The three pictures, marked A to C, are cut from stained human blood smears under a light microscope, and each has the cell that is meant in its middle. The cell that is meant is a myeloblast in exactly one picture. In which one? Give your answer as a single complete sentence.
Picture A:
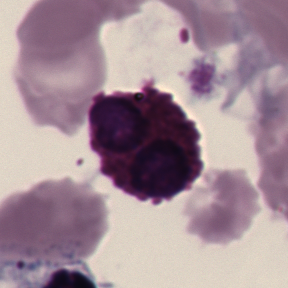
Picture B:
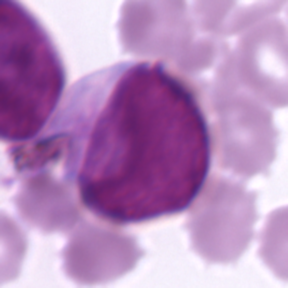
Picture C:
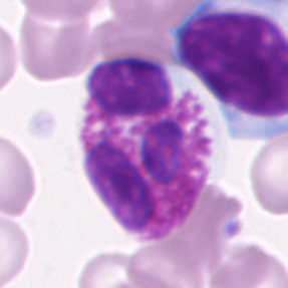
The myeloblast is the one in picture B.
